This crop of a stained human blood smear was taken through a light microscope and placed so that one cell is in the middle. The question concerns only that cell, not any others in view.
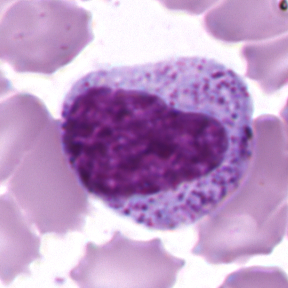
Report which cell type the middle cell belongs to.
myelocyte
